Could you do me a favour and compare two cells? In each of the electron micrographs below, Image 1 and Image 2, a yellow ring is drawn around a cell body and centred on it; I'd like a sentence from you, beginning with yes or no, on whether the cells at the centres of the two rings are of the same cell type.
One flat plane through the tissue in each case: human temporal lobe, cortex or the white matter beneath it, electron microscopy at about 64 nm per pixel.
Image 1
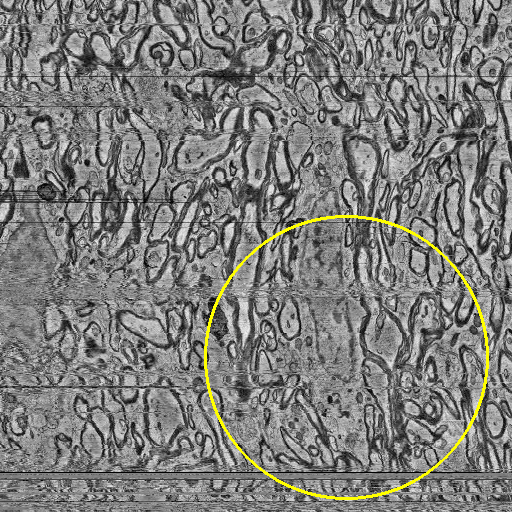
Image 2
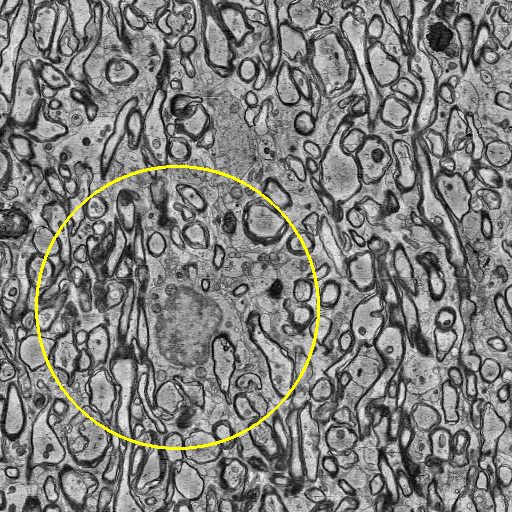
No, the two cells are of two cell types.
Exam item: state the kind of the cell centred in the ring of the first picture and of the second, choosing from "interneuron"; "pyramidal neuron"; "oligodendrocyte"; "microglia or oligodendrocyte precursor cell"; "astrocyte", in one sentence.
The first picture shows an astrocyte at the ring centre and the second shows an oligodendrocyte.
